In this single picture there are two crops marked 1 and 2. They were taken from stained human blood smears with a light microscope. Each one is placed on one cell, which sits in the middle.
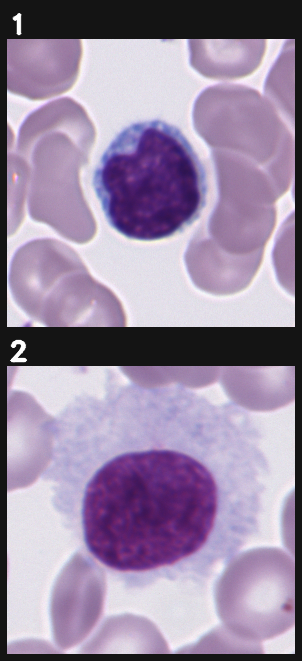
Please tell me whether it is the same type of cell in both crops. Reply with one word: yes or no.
no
